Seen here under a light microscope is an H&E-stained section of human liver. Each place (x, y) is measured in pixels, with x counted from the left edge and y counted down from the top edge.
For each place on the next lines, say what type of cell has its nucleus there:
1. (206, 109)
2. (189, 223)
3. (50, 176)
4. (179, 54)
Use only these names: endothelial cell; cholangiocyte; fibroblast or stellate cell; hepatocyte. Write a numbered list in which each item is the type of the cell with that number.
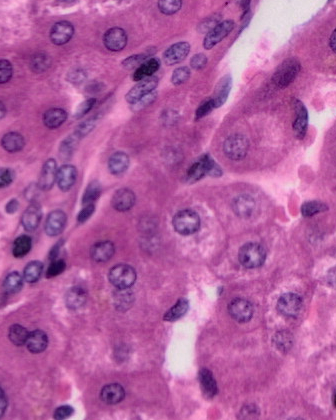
1. fibroblast or stellate cell
2. hepatocyte
3. cholangiocyte
4. cholangiocyte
